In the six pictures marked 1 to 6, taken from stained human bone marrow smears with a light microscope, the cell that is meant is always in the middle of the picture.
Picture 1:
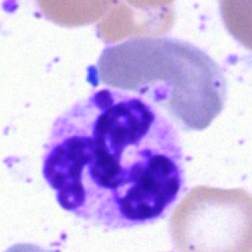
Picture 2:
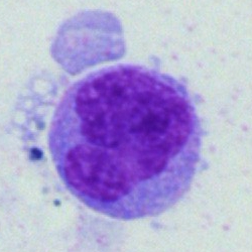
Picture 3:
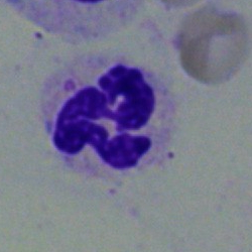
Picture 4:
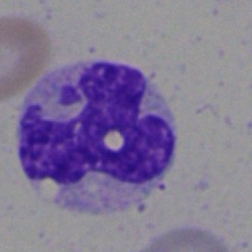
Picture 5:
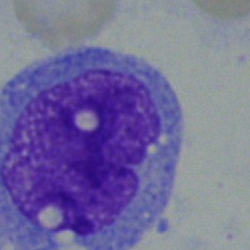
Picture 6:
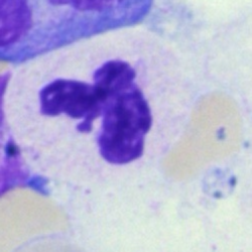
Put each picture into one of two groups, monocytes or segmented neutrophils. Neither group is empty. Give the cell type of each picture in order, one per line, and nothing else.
segmented neutrophil
monocyte
segmented neutrophil
segmented neutrophil
monocyte
segmented neutrophil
